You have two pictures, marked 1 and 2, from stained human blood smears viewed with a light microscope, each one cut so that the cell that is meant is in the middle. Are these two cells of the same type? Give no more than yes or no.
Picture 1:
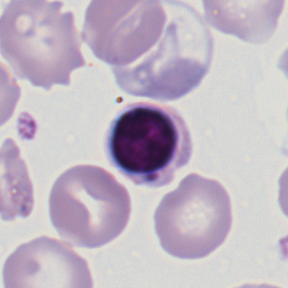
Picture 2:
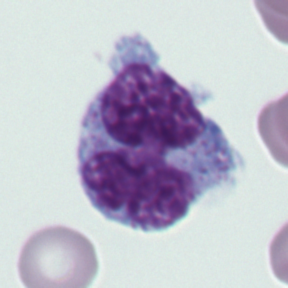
no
